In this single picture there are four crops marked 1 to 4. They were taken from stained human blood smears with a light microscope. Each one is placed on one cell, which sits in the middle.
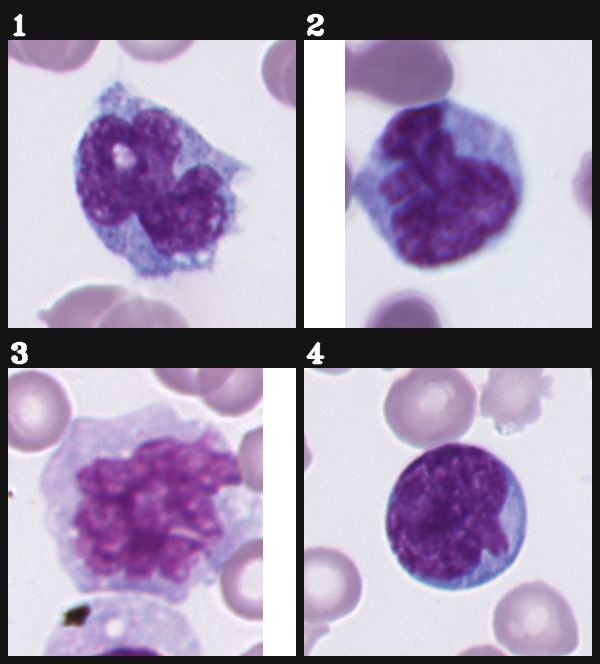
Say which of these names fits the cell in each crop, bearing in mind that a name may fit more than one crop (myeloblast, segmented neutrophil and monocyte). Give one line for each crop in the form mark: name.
1: monocyte
2: monocyte
3: monocyte
4: myeloblast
